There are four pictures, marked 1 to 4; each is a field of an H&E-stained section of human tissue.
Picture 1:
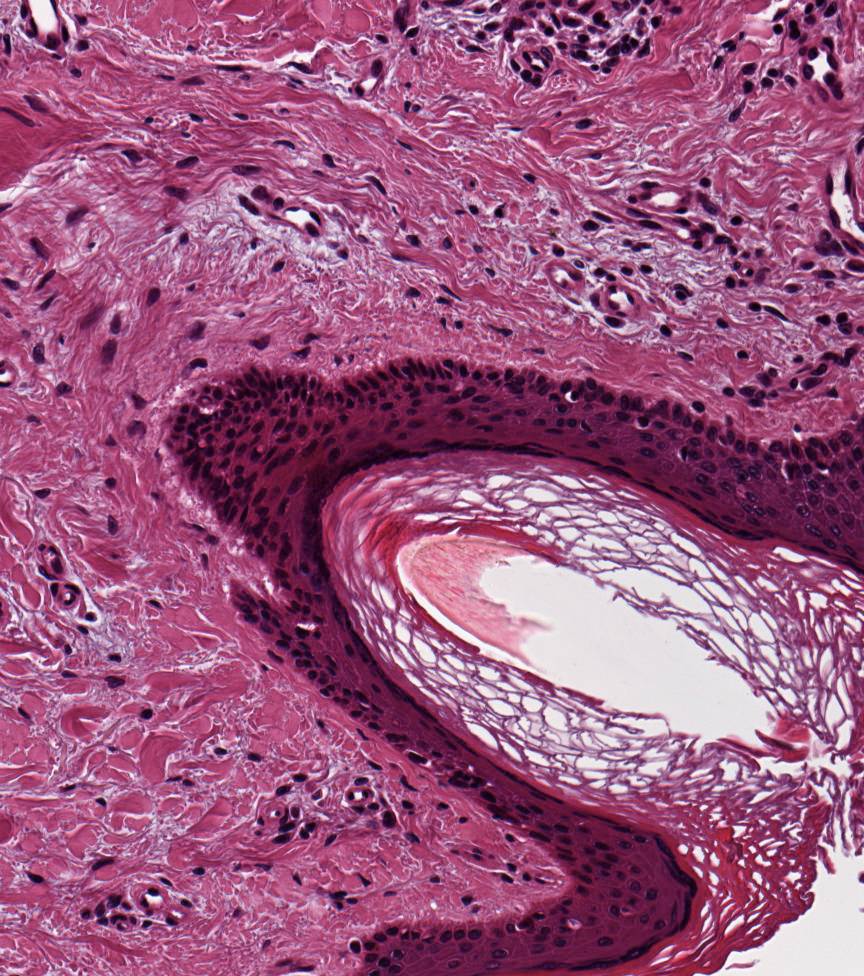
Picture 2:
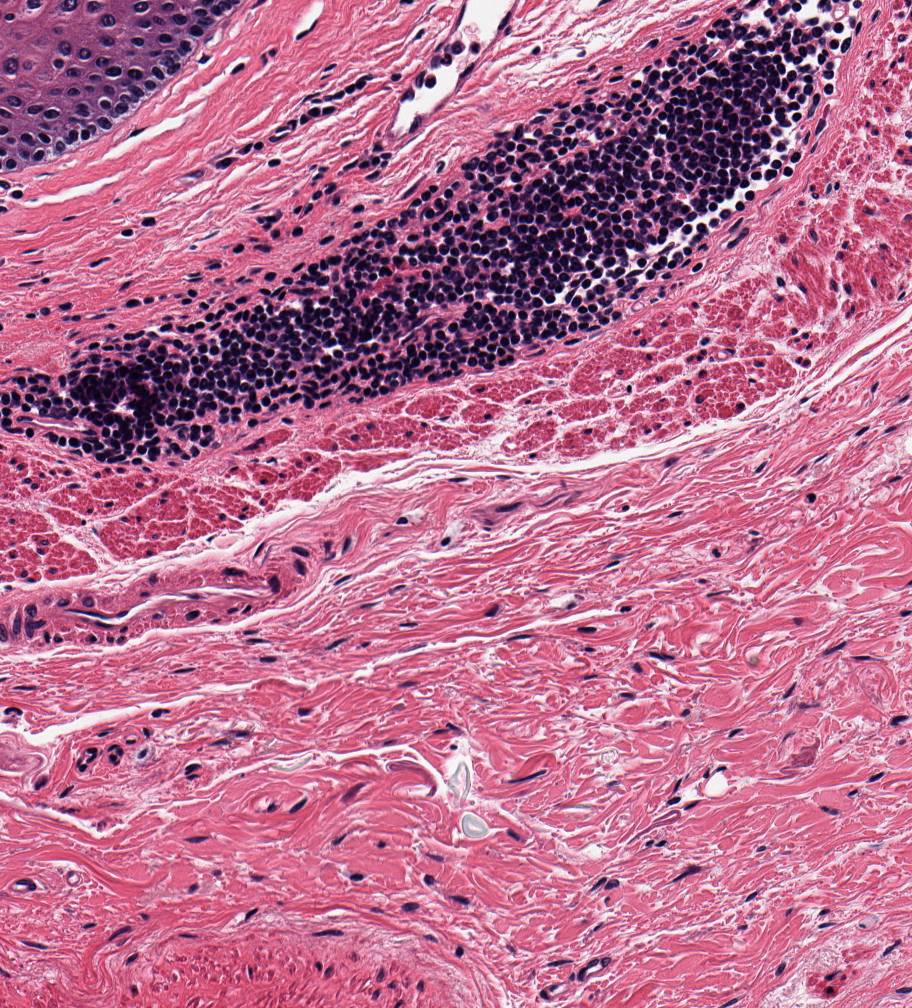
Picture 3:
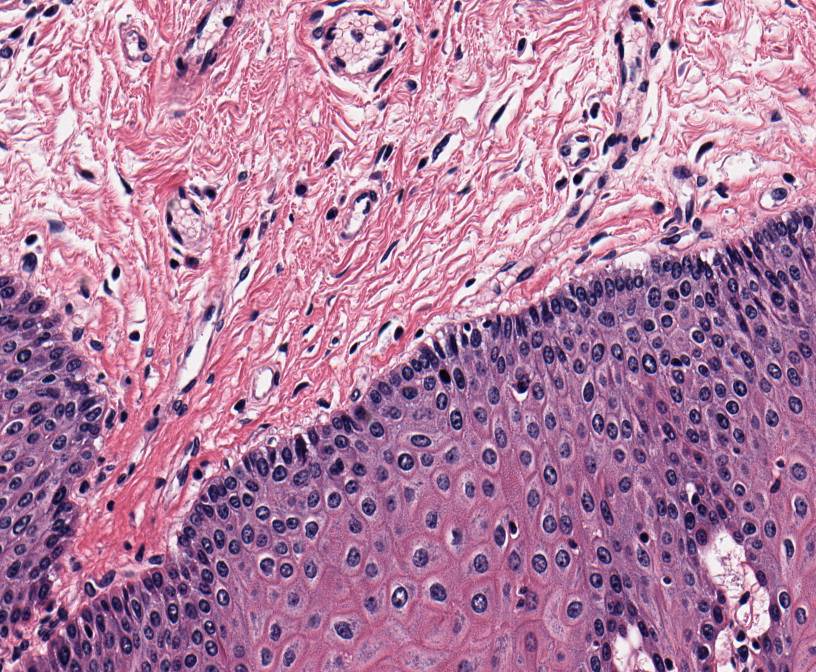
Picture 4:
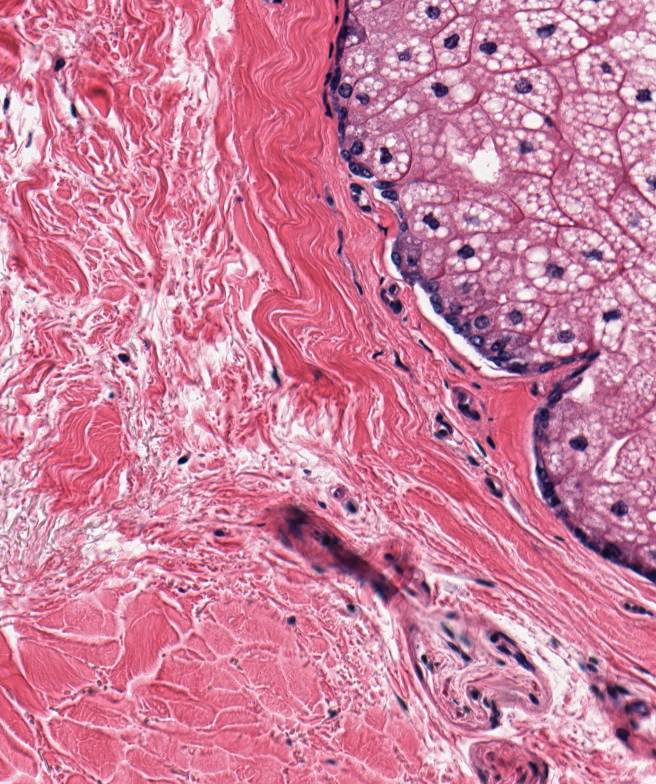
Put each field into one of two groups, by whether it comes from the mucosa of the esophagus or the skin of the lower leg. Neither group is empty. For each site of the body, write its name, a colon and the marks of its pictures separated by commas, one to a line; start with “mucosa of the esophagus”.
mucosa of the esophagus: 2, 3
skin of the lower leg: 1, 4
